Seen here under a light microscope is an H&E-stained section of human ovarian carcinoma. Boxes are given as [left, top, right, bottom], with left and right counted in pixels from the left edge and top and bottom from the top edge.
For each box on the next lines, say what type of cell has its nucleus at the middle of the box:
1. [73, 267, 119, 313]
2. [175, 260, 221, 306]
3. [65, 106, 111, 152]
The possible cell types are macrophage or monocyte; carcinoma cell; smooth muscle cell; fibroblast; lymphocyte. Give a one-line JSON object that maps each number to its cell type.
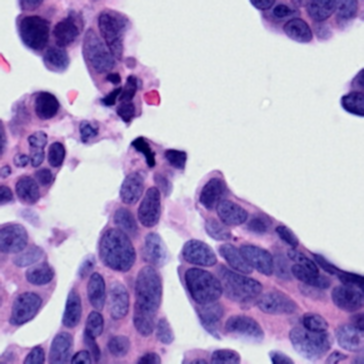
{"1": "carcinoma cell", "2": "carcinoma cell", "3": "macrophage or monocyte"}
